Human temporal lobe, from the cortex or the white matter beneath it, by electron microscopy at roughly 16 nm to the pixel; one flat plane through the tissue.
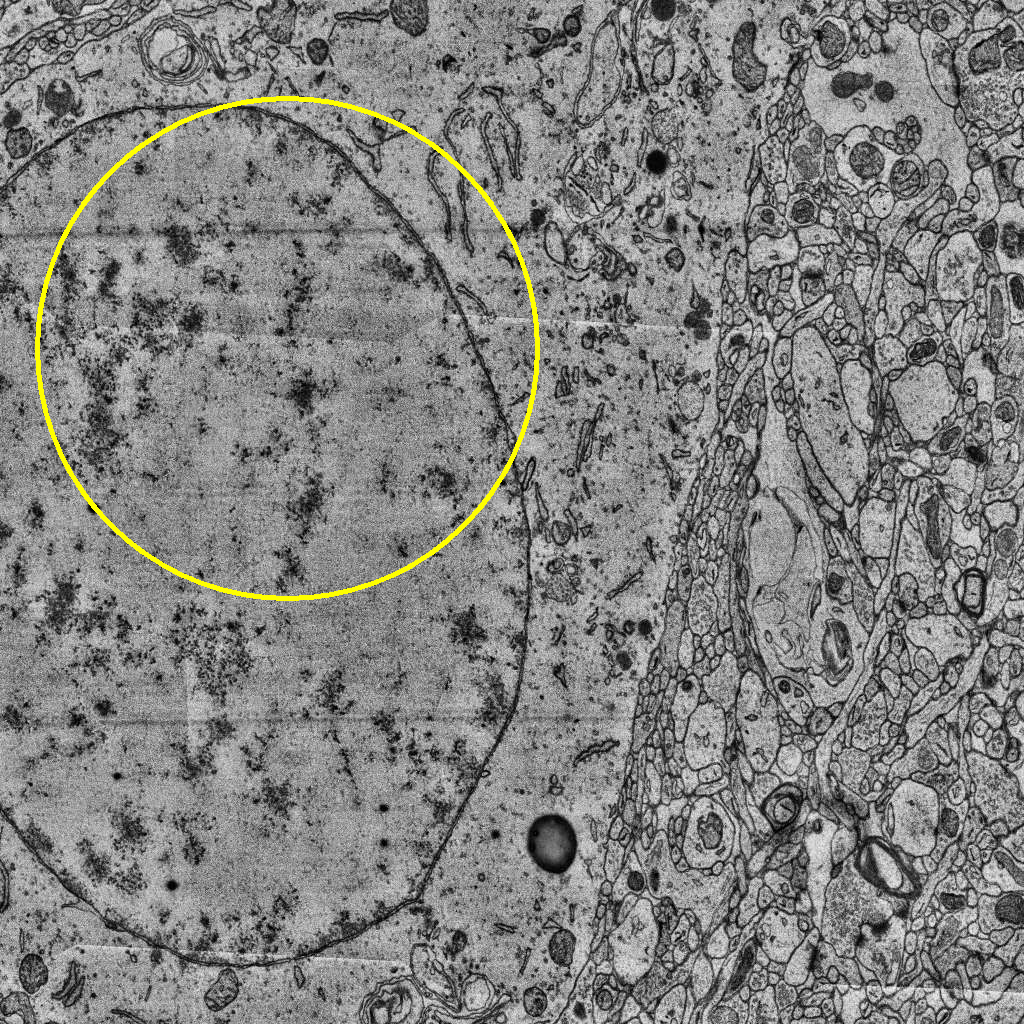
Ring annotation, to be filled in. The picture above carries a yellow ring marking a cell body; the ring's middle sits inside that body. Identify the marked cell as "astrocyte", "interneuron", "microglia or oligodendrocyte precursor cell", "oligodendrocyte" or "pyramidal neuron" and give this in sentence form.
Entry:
The cell at the middle of the ring is a pyramidal neuron.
